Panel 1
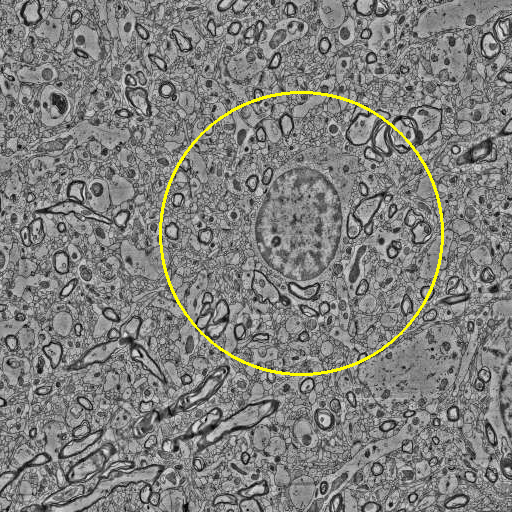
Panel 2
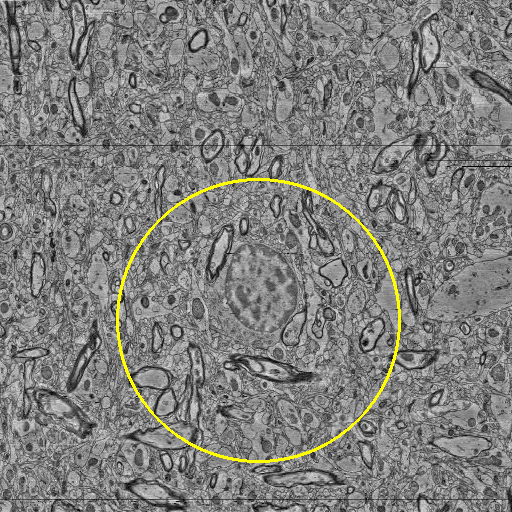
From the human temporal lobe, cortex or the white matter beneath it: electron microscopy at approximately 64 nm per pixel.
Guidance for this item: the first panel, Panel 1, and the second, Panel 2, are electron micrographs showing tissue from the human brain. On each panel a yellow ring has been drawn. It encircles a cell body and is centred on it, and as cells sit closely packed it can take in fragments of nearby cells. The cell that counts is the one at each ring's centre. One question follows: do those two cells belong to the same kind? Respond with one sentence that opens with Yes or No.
Yes, the cells at the ring centres in Panel 1 and Panel 2 are of one kind.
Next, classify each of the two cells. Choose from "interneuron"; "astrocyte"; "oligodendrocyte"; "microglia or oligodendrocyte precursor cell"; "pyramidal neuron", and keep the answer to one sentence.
Each one of the two ringed cells is an oligodendrocyte.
